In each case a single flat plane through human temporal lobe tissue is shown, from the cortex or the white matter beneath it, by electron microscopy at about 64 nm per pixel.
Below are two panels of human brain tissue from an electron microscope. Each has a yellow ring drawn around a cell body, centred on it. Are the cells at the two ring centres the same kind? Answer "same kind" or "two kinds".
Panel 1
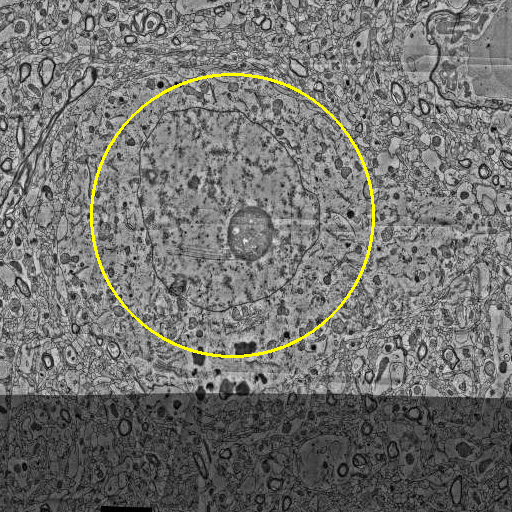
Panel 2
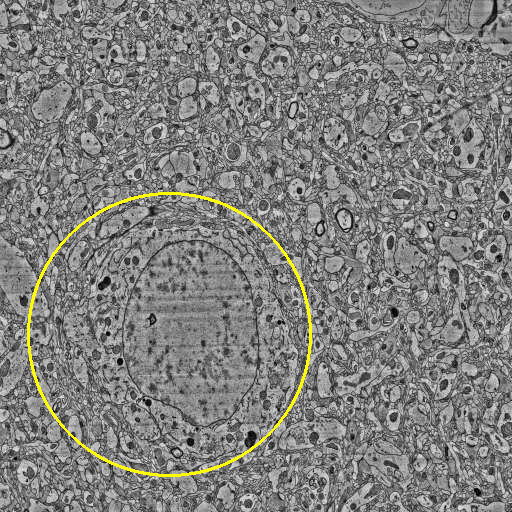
same kind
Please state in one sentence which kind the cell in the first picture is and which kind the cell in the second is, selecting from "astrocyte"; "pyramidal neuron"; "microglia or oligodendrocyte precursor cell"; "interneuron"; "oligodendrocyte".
In the first picture and in the second, the ring is centred on a pyramidal neuron.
